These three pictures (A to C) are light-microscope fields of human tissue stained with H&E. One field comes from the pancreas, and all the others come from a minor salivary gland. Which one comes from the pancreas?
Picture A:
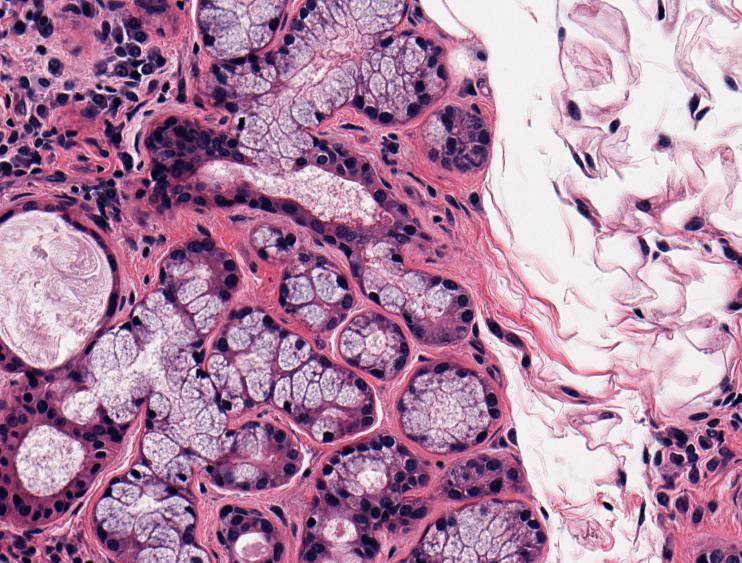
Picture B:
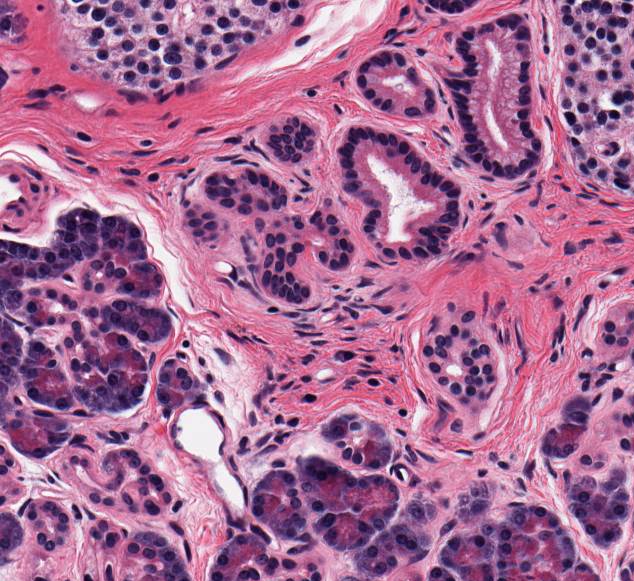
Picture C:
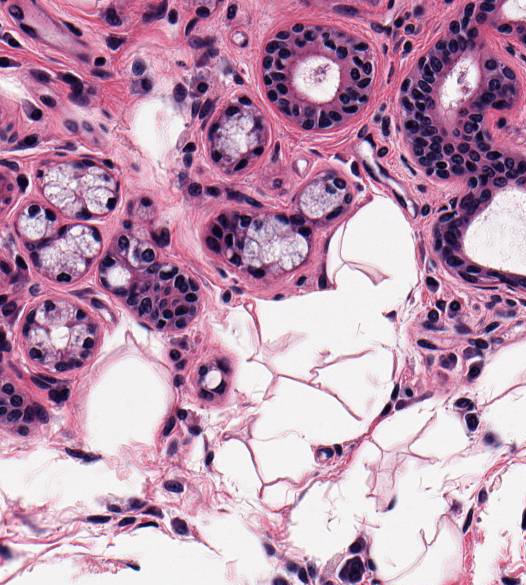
B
